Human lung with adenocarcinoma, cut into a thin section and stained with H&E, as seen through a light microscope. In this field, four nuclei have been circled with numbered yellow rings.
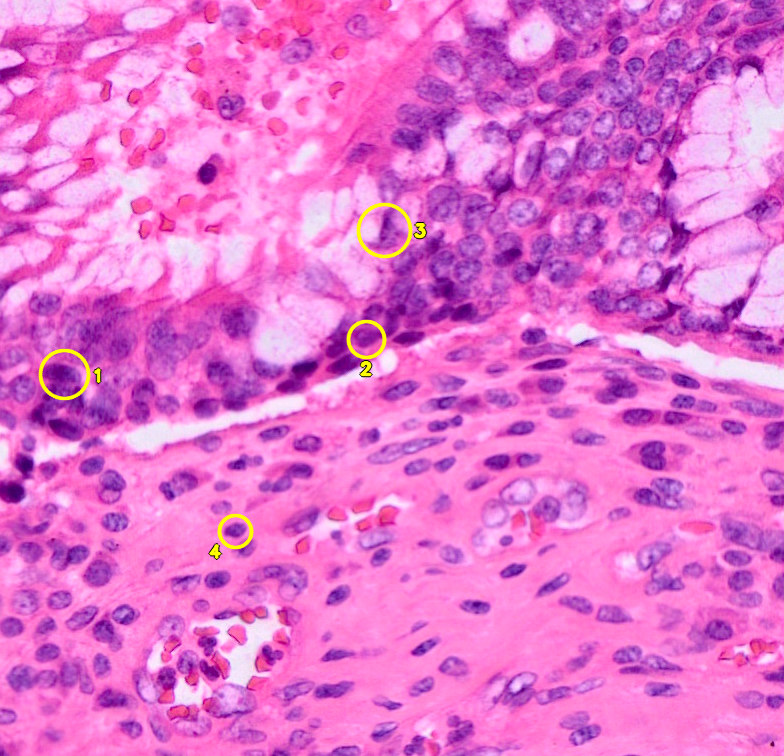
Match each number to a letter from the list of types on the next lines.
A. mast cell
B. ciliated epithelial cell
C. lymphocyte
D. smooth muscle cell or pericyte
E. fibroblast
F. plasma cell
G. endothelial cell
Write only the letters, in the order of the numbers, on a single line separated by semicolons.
B; B; B; C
